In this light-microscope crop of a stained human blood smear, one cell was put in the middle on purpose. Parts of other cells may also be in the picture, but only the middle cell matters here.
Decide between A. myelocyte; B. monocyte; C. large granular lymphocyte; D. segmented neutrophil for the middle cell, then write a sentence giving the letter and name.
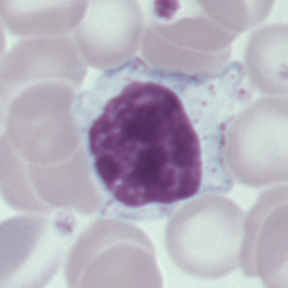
The expected answer is option C, the central cell being a large granular lymphocyte.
